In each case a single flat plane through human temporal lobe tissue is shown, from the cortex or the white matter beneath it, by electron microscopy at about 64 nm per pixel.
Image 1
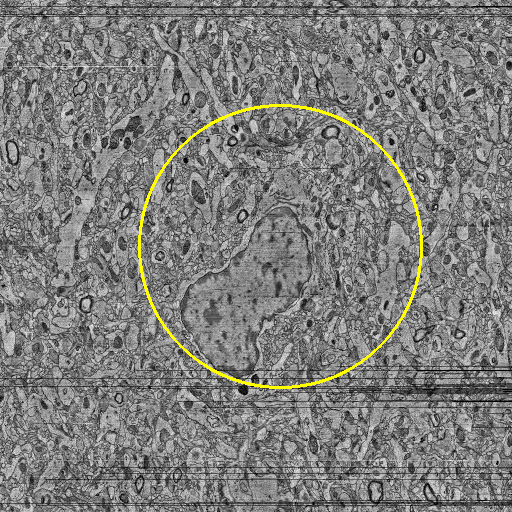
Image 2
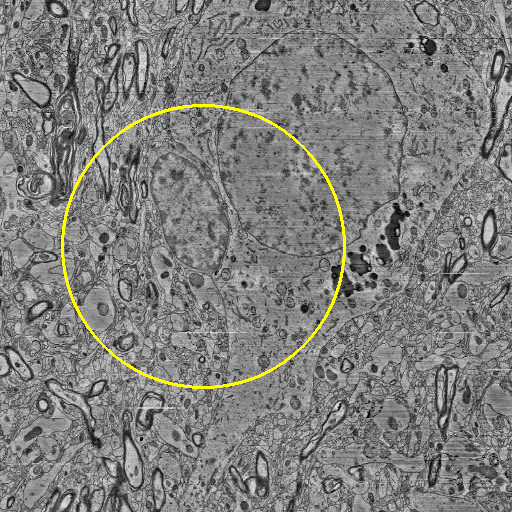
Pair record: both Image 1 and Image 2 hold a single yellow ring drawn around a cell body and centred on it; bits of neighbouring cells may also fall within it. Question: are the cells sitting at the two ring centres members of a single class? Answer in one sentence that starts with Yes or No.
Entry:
No, the ring-centre cells in Image 1 and Image 2 come from two classes.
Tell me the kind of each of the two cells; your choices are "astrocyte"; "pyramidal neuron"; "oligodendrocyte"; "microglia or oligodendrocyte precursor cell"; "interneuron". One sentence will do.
The ringed cell is a microglial cell or oligodendrocyte precursor cell in the first picture and an oligodendrocyte in the second picture.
